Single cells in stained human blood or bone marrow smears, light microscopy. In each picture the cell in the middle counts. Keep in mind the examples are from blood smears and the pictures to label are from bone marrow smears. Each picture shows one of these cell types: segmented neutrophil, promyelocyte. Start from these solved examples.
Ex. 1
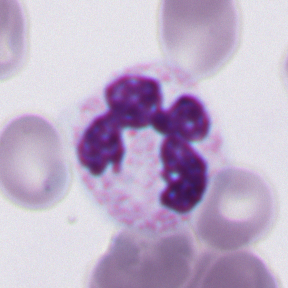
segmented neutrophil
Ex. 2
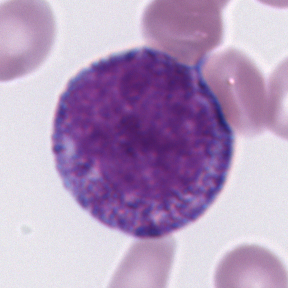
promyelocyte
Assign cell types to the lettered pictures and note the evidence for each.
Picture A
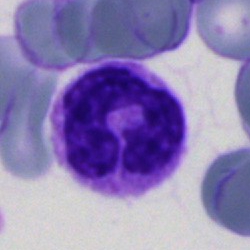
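segmented neutrophil: The chromatin is dark purple and coarsely clumped.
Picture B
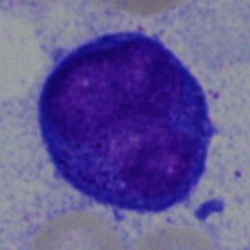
promyelocyte: The chromatin is finely textured and purple rather than coarsely clumped.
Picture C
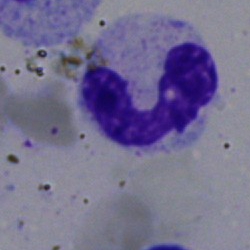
segmented neutrophil: The nucleus is a curved band bent into a U shape that opens toward the top.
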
